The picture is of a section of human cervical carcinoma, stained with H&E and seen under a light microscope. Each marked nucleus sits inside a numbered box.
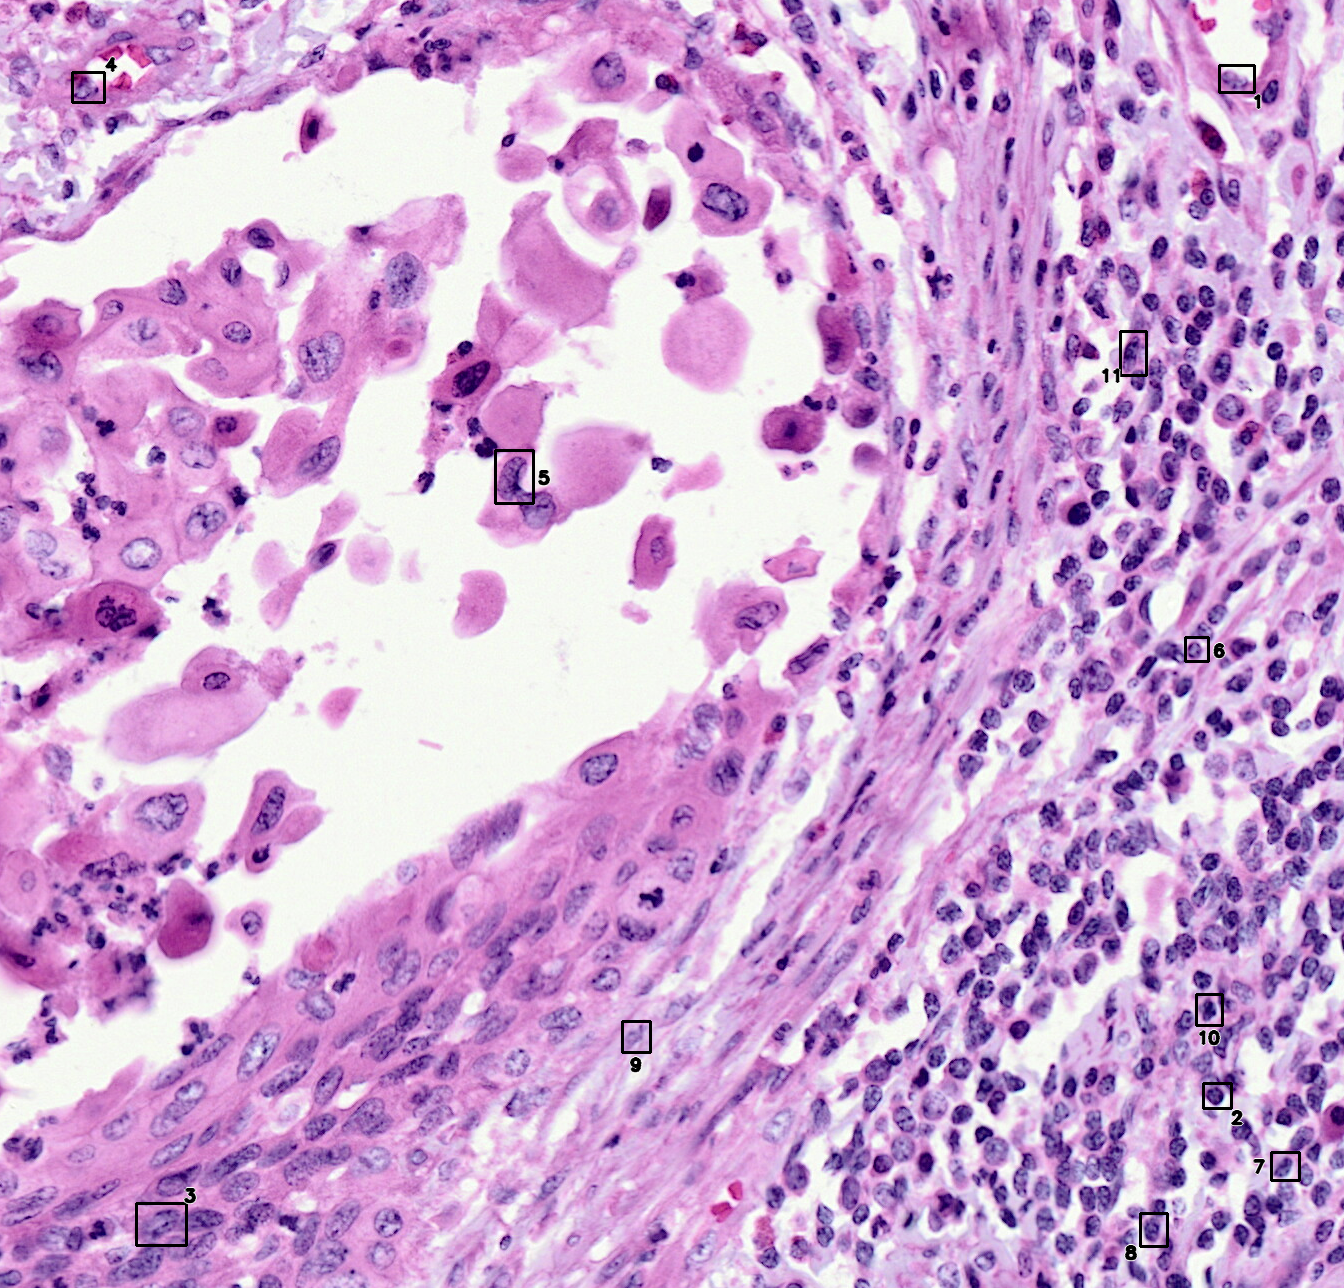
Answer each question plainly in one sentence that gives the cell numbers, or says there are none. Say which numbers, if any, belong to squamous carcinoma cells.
In terms of cell type, cells 3 and 5 are squamous carcinoma cells.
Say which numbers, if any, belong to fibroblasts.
Cell 9 is a fibroblast, and it is the only numbered cell that is.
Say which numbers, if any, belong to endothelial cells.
So, the cells with numbers 1 and 4 are endothelial cells.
